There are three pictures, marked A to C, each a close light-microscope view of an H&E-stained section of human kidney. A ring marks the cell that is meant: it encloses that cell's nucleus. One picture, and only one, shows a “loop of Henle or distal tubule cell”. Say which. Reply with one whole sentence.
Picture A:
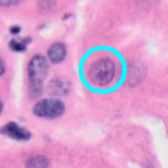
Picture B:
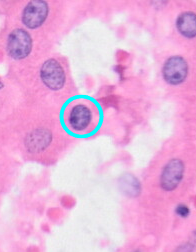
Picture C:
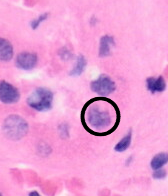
Picture C is the one that shows the “loop of Henle or distal tubule cell”.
